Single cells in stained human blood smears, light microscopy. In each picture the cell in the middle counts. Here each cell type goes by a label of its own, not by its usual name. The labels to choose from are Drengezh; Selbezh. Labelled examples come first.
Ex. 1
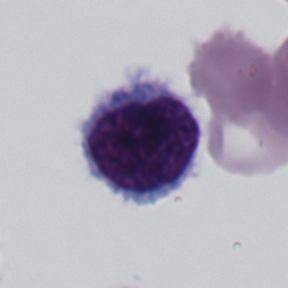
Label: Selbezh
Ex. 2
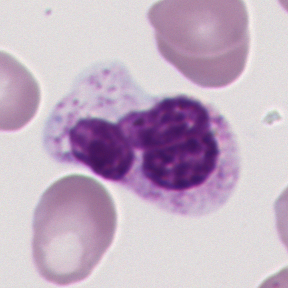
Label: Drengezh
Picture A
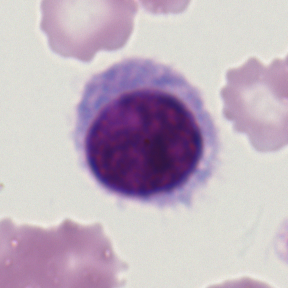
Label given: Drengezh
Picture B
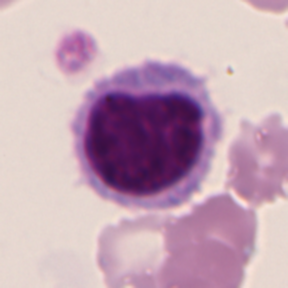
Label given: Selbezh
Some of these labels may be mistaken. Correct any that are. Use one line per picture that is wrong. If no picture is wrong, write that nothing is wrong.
A: change Drengezh to Selbezh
